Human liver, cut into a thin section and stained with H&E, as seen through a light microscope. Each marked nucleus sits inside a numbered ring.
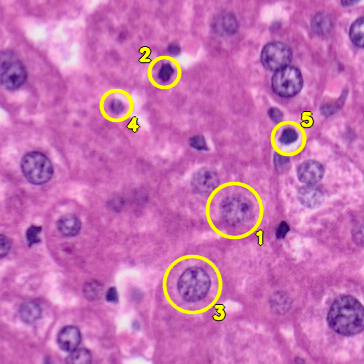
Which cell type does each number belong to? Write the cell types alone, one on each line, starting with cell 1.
hepatocyte
fibroblast or stellate cell
hepatocyte
lymphocyte
lymphocyte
